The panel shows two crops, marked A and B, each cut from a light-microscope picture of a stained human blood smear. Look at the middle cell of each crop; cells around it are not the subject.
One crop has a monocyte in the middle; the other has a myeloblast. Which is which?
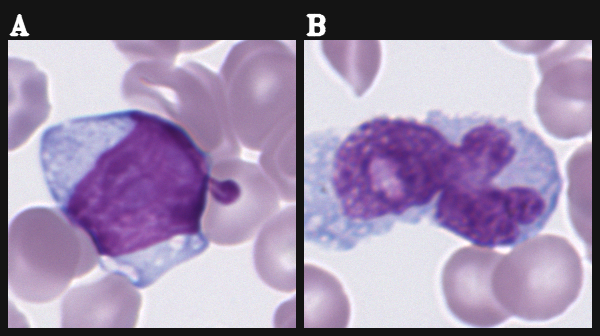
A: myeloblast
B: monocyte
